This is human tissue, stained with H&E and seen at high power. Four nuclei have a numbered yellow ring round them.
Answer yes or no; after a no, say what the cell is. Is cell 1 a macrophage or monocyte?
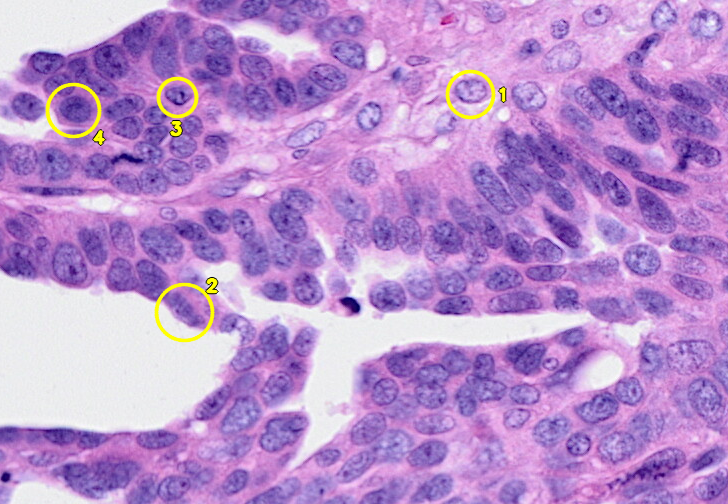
No, it is a fibroblast.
